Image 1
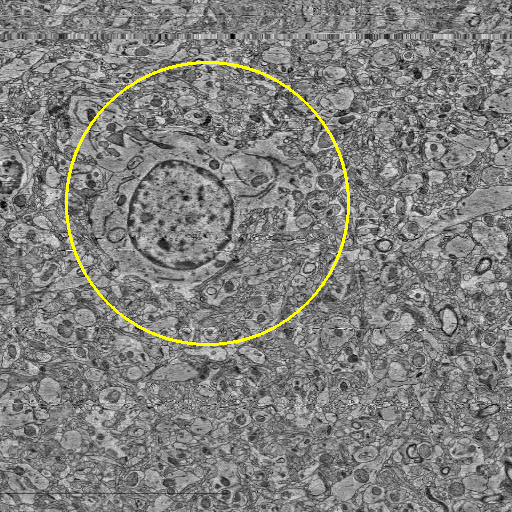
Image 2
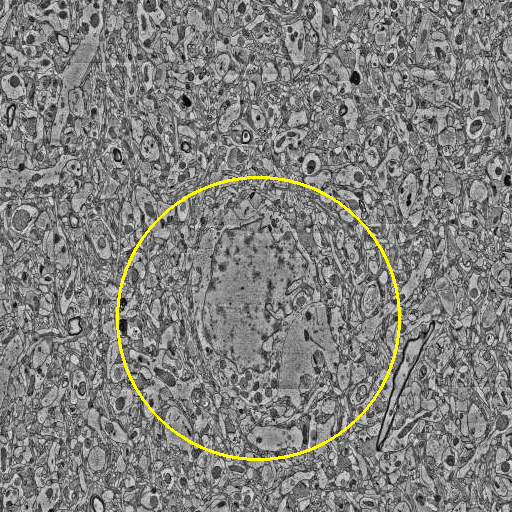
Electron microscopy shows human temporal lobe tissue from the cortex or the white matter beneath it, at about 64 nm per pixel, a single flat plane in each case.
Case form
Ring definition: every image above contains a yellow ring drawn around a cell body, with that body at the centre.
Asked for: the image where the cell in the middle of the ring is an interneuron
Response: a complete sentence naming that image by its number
Image 2 is the one.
